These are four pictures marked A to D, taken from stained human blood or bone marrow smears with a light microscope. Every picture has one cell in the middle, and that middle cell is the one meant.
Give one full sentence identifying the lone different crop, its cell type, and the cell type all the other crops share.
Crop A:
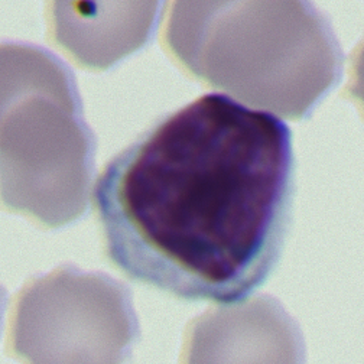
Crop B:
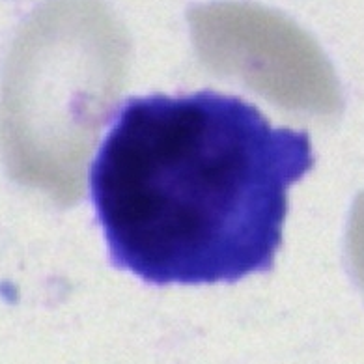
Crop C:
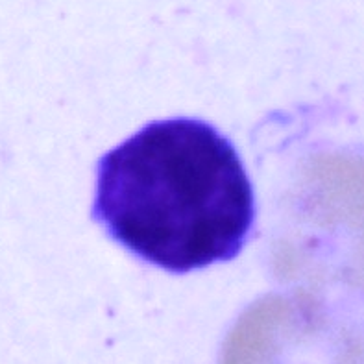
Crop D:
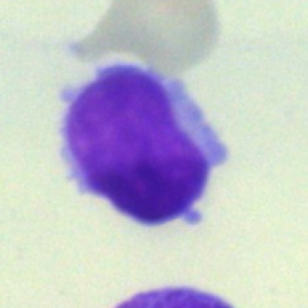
Crop B differs, its cell being a plasma cell, whereas the other crops show lymphocytes.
